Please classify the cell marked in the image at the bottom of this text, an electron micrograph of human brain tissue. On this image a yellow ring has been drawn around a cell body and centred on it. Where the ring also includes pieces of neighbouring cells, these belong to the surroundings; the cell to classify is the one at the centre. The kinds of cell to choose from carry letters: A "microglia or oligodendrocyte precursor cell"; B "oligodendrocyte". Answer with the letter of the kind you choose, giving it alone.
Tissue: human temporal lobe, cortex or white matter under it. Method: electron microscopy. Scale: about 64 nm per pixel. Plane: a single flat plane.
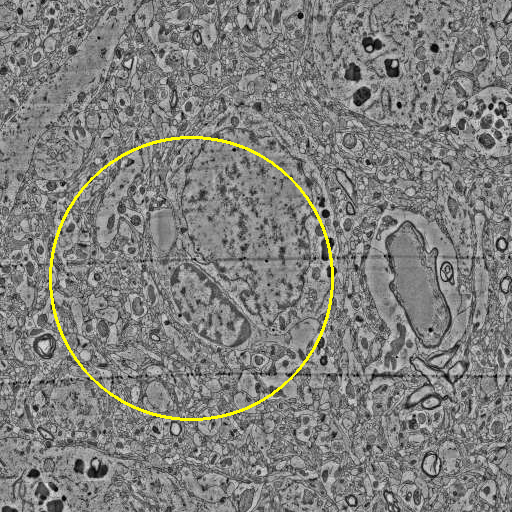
A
